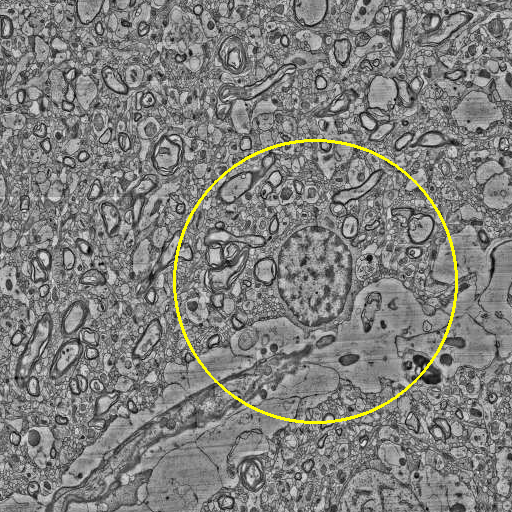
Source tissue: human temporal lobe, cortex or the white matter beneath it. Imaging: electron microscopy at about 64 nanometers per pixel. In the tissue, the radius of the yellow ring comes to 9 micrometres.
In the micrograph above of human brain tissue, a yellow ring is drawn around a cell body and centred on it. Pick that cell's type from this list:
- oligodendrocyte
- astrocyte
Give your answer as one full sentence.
Going by the list, an oligodendrocyte is the cell on which the yellow ring is centred.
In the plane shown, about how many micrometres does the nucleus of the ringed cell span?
In this plane the nucleus measures roughly 6 by 5 micrometres.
